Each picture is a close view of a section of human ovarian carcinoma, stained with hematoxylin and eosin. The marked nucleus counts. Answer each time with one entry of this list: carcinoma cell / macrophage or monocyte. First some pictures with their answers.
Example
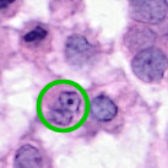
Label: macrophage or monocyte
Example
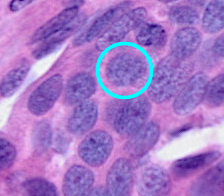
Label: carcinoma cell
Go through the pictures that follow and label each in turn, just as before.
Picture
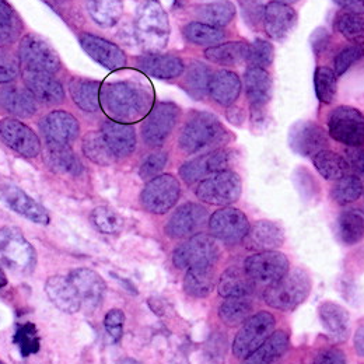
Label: carcinoma cell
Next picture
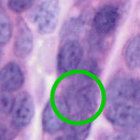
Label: carcinoma cell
